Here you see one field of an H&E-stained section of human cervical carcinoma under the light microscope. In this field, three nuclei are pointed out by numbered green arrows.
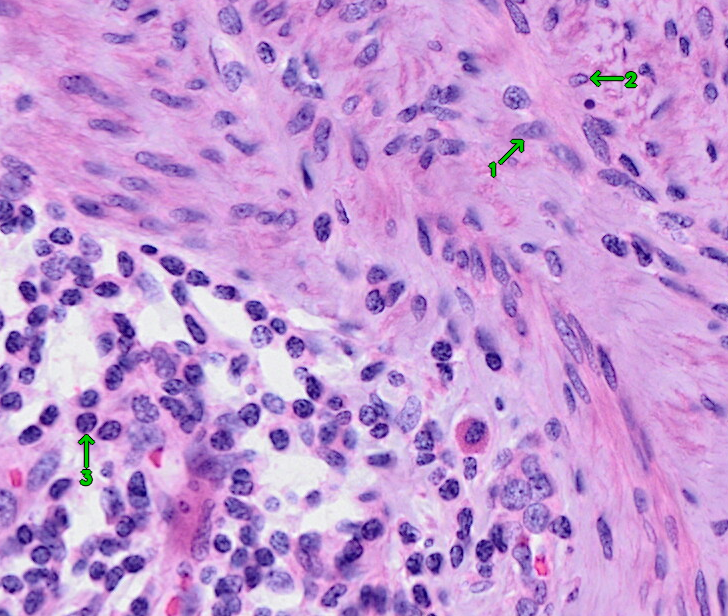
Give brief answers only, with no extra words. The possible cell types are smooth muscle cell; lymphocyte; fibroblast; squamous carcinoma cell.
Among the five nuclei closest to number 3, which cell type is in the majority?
lymphocyte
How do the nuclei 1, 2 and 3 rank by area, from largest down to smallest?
1, 3, 2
